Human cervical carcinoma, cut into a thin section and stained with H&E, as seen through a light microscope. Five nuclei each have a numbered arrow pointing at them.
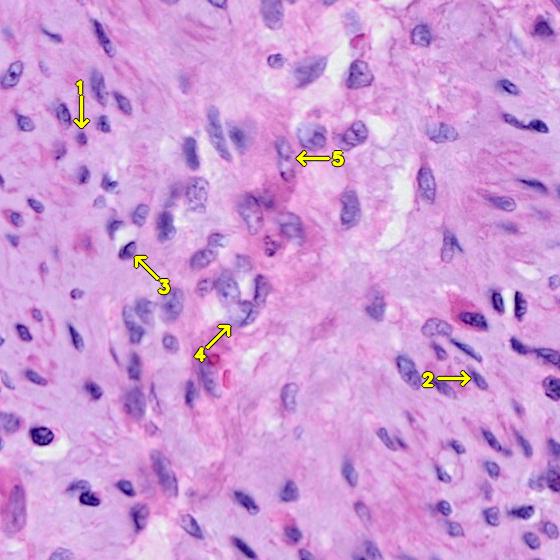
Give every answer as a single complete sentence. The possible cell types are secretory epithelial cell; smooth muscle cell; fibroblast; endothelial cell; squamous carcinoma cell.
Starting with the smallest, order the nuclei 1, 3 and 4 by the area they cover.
The order from the smallest nucleus to the largest is 1, 3, 4.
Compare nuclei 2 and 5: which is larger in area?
Of the two, number 5 is bigger and takes up about 4 times the area of number 2.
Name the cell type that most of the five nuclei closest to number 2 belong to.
Smooth muscle cells make up most of the five nuclei closest to number 2.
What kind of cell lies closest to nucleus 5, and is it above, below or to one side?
It is an endothelial cell, whose nucleus lies above and to the right of nucleus 5.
